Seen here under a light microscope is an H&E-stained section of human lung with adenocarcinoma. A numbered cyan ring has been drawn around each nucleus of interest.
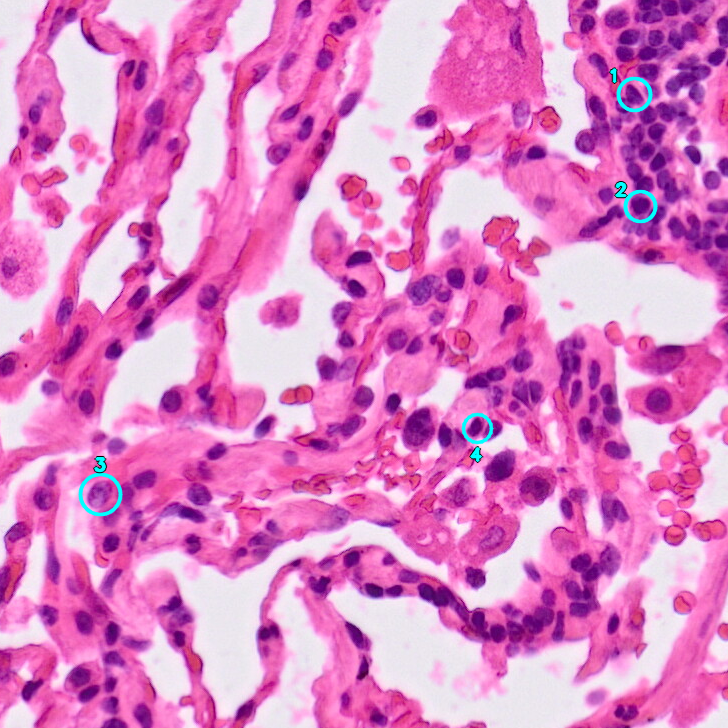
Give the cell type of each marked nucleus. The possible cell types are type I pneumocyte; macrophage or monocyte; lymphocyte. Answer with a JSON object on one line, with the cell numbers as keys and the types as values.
{"1": "lymphocyte", "2": "lymphocyte", "3": "type I pneumocyte", "4": "lymphocyte"}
